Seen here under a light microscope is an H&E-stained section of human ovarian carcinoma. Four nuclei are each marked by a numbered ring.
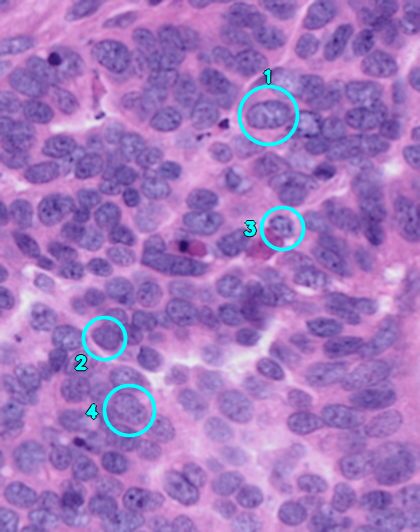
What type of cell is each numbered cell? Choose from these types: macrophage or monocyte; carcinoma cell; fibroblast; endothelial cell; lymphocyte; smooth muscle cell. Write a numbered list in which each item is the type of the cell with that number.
1. carcinoma cell
2. carcinoma cell
3. macrophage or monocyte
4. carcinoma cell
